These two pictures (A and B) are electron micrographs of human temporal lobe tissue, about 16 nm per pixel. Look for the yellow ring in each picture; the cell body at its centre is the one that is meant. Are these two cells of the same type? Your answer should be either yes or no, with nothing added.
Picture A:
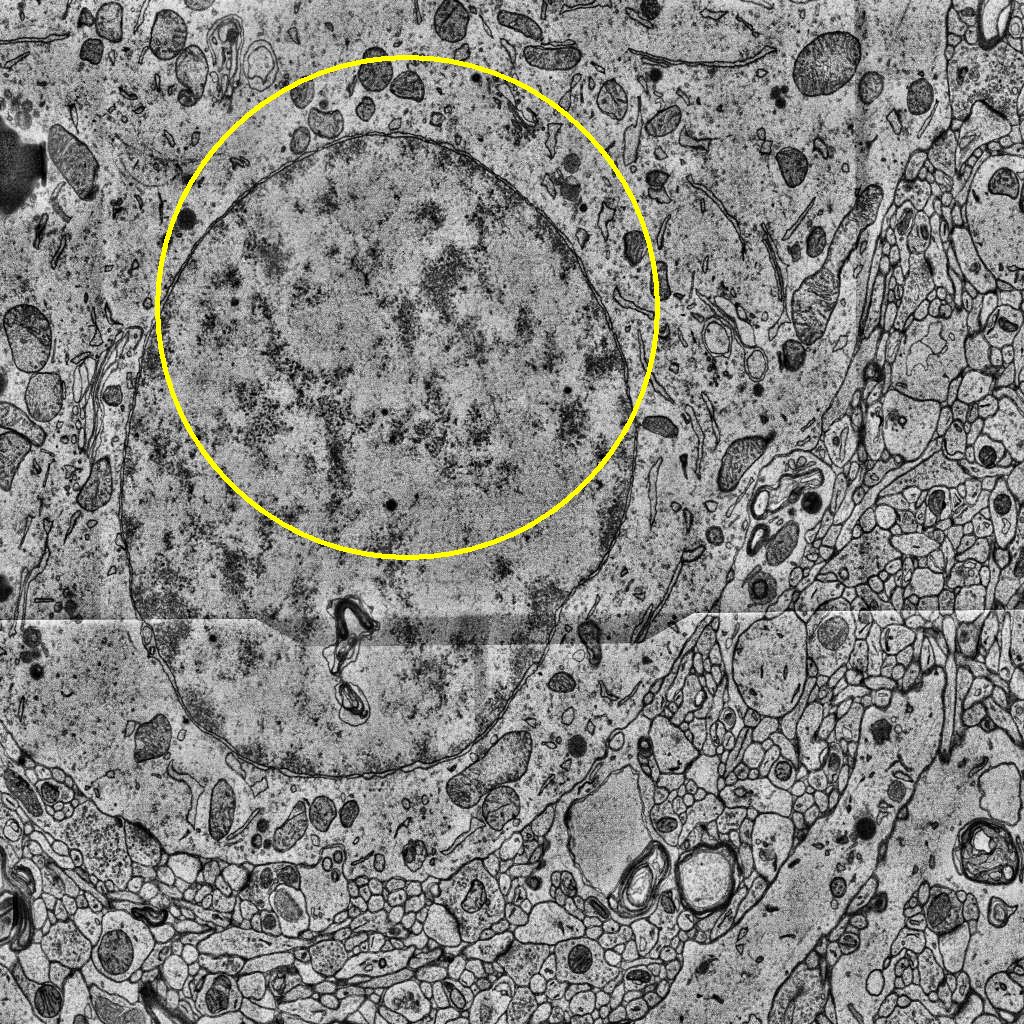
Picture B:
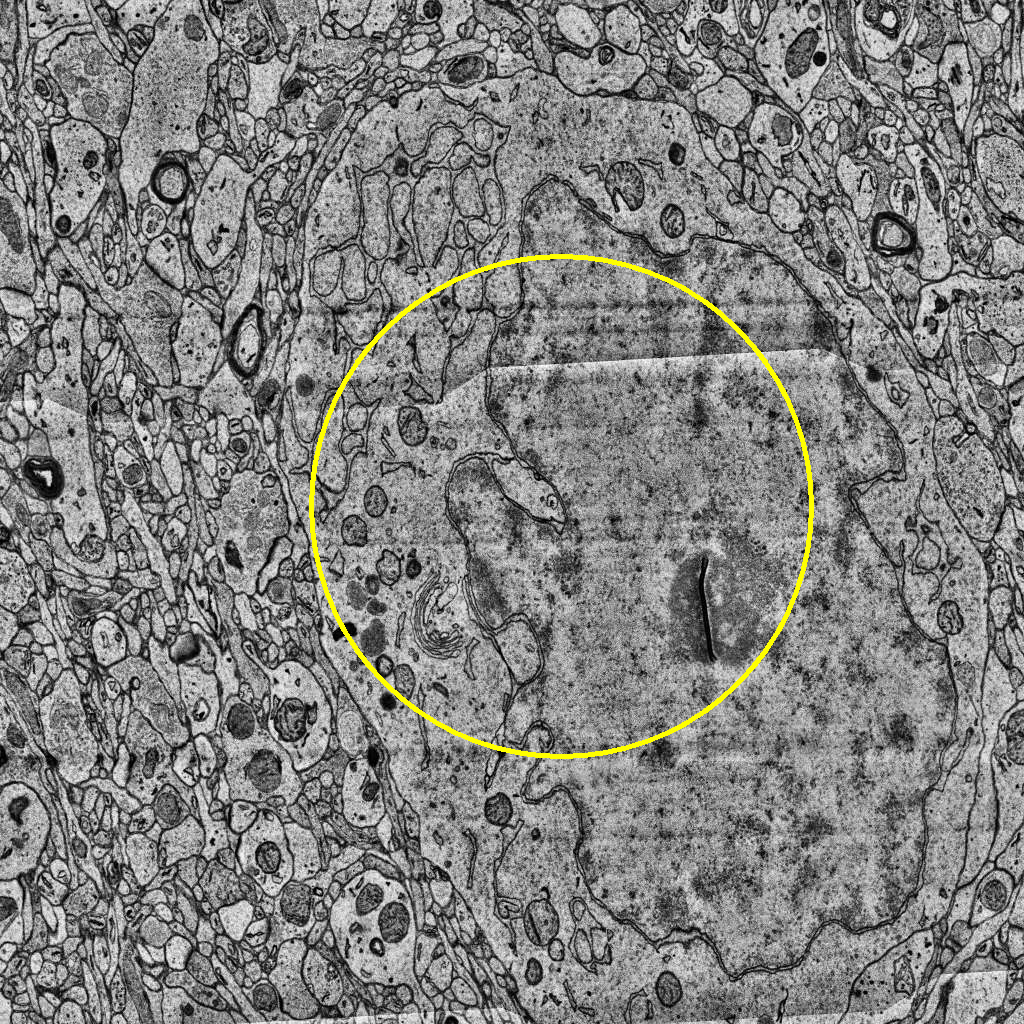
yes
